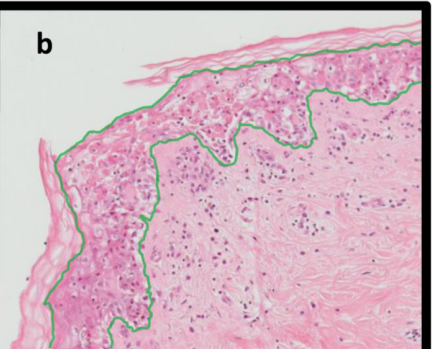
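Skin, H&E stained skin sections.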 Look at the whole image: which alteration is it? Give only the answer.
Diffuse vacuolisation.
